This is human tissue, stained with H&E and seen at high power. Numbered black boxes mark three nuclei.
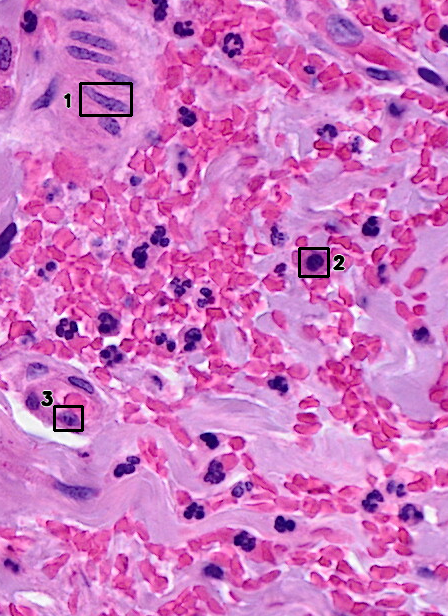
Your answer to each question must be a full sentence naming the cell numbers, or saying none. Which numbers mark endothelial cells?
The cells to which the numbers 1 and 3 refer are endothelial cells.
